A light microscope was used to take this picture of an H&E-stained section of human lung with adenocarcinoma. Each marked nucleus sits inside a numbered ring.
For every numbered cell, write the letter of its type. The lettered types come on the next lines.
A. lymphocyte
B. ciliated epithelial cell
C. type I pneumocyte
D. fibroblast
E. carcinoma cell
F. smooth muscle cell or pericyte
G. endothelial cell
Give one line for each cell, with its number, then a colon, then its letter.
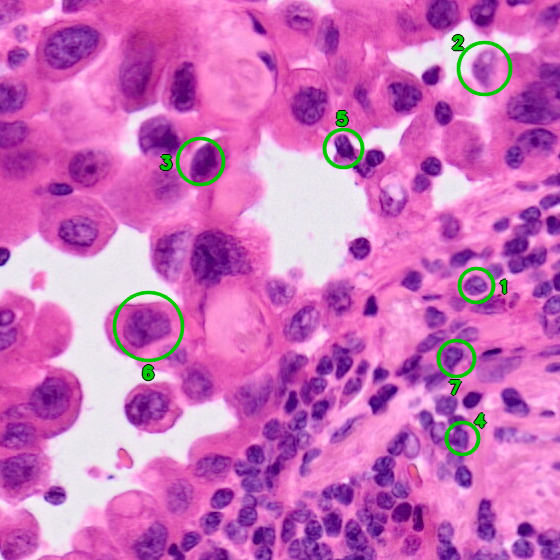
1: A
2: E
3: E
4: A
5: A
6: E
7: A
